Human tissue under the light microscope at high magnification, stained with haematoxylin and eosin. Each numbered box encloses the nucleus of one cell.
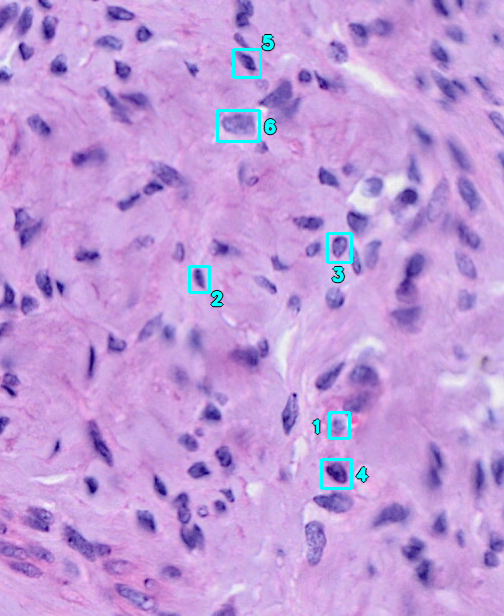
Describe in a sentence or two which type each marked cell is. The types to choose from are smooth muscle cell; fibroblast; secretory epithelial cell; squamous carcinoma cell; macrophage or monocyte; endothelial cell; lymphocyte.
Cells 1 and 4 are endothelial cells. Cells 2, 3, 5 and 6 are fibroblasts.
